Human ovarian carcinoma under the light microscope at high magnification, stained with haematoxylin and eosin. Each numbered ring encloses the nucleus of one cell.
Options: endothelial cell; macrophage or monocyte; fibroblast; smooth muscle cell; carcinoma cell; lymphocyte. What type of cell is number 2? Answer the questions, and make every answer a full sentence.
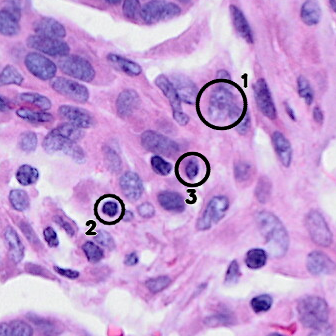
Here the cell numbered 2 is a lymphocyte.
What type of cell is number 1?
The cell that is numbered 1 is a fibroblast.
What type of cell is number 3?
Cell 3, as marked in the section, is a lymphocyte.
